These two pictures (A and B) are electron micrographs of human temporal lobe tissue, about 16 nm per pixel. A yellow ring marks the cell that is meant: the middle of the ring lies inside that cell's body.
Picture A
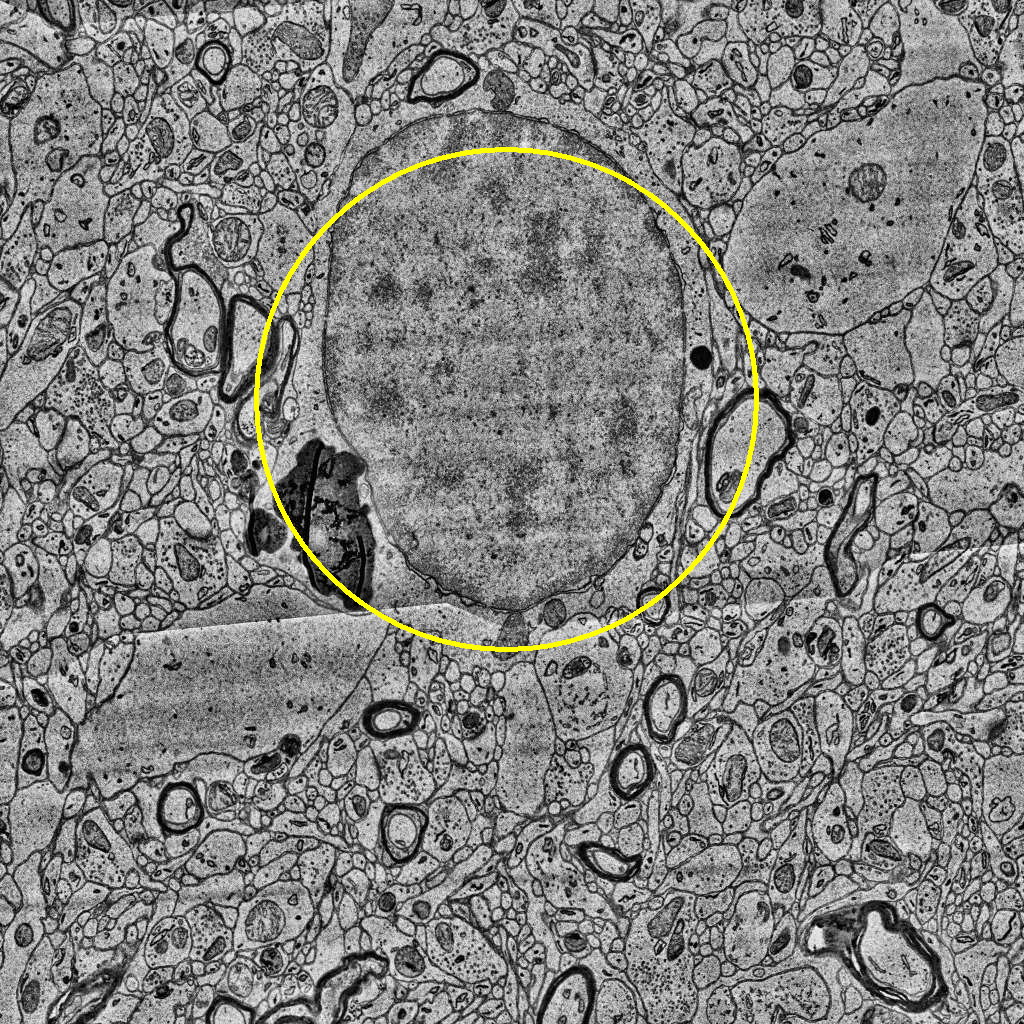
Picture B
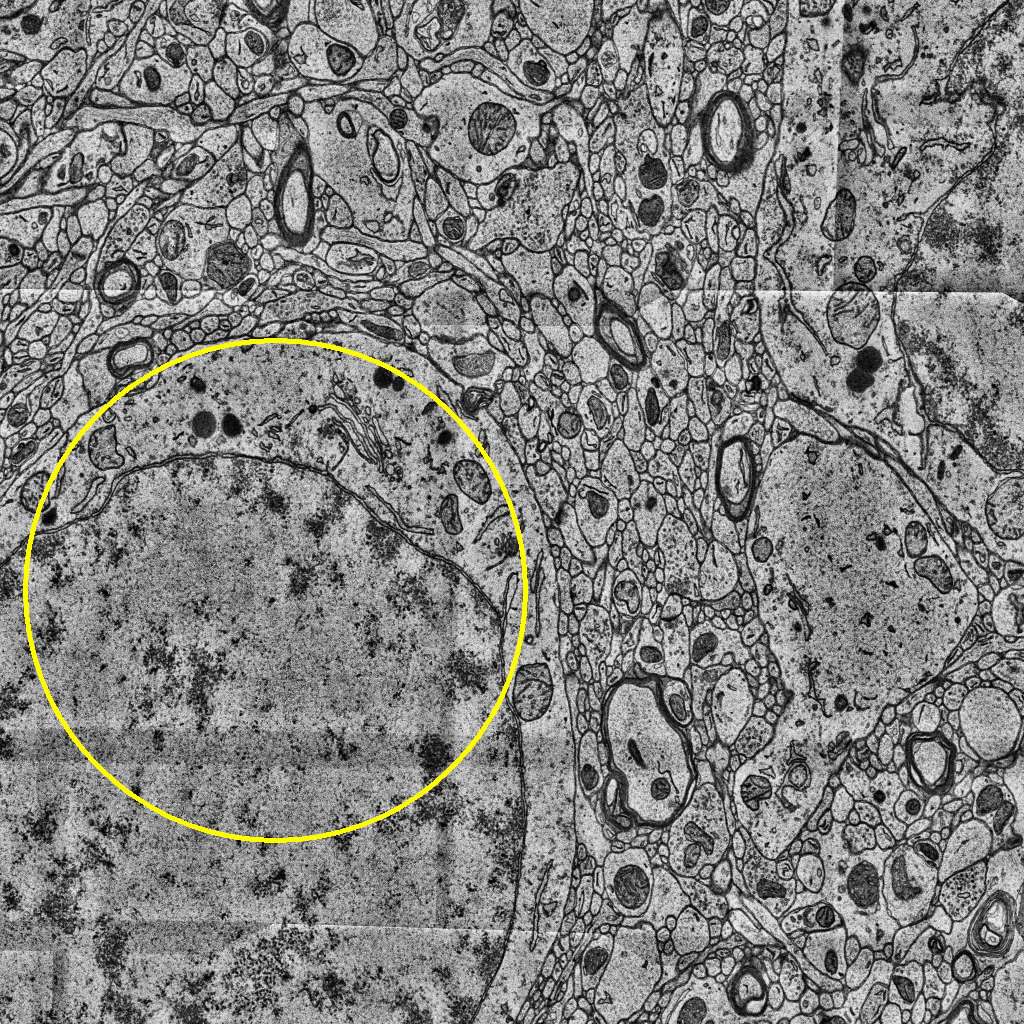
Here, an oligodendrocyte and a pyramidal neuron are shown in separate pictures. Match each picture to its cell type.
It is picture A that shows an oligodendrocyte, and picture B that shows a pyramidal neuron.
